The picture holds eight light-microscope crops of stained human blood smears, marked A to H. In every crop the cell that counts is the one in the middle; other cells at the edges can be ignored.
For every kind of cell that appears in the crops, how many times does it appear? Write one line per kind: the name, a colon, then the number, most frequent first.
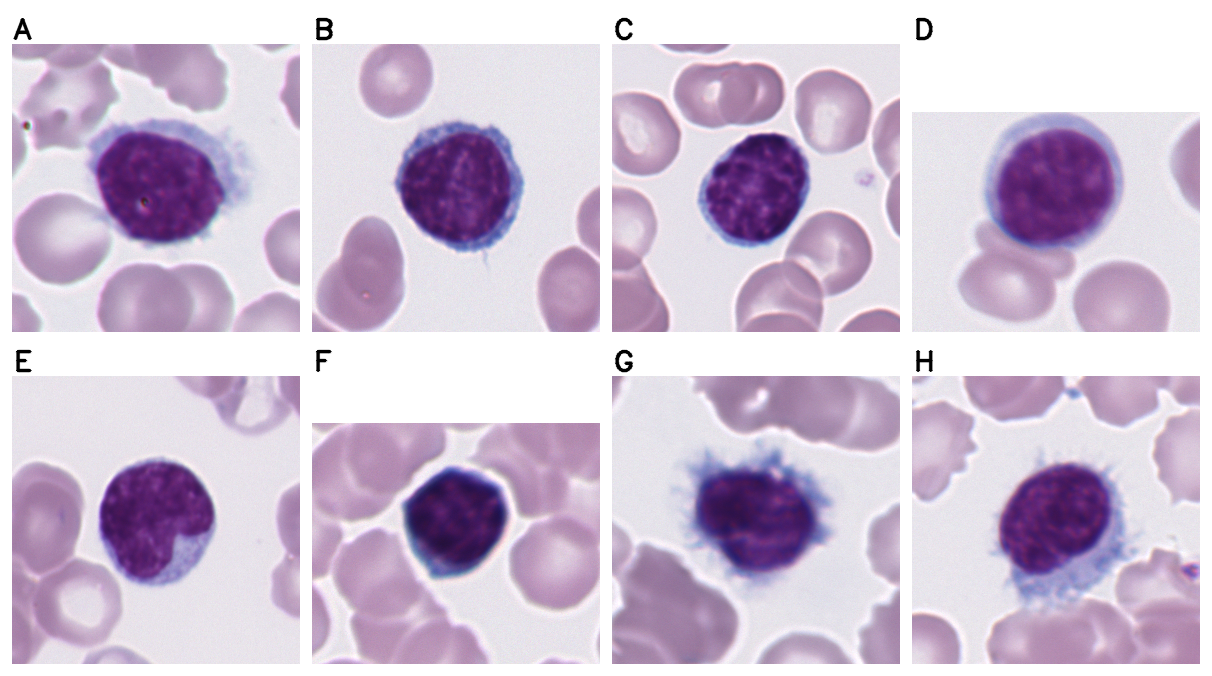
typical lymphocyte: 5
hairy cell: 3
